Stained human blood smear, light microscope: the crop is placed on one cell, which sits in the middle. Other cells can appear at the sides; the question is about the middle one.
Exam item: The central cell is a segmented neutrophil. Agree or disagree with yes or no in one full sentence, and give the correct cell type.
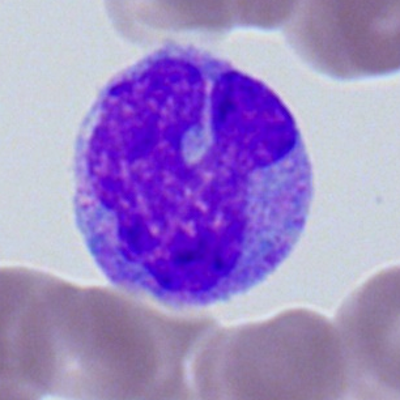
No, the central cell should be identified as a monocyte, not as a segmented neutrophil.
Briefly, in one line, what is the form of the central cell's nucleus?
Look at the nucleus and you will find it divided into two or more lobes.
